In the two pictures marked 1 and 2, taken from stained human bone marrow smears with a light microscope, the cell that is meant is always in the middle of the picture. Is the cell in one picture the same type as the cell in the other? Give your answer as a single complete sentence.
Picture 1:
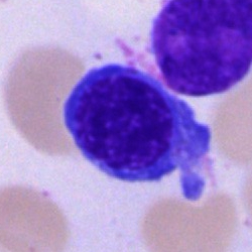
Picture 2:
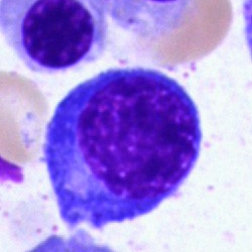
Yes, both cells are erythroblasts.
